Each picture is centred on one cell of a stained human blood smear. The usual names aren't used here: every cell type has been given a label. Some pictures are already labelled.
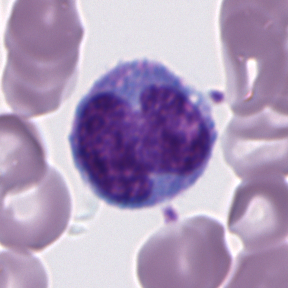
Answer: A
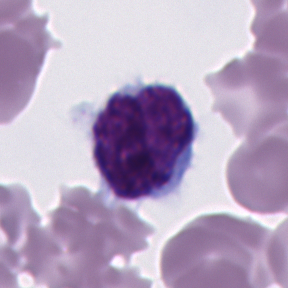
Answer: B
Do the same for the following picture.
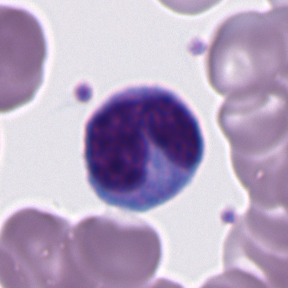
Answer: A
